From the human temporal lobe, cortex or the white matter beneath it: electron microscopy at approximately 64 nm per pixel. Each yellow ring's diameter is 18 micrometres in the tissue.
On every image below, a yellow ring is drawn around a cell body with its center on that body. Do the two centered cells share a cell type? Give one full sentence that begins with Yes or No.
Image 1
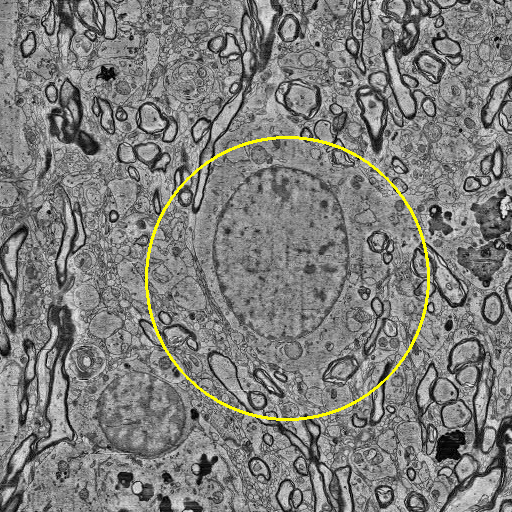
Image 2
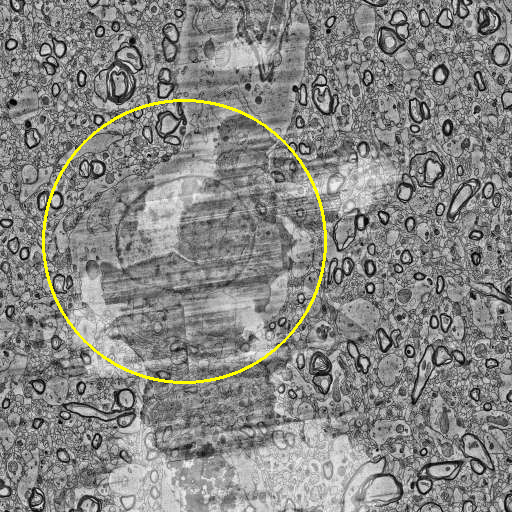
Yes, the centered cells in the two images are of a single cell type.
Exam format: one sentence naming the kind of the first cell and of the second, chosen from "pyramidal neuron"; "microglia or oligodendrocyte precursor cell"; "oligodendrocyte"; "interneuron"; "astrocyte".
In the first picture and in the second, the ring is centred on an astrocyte.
